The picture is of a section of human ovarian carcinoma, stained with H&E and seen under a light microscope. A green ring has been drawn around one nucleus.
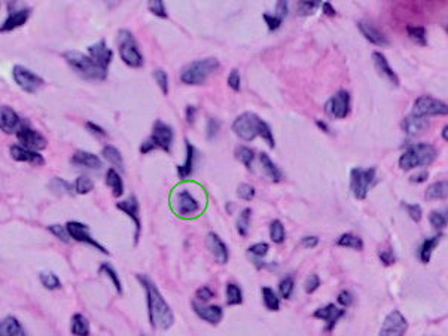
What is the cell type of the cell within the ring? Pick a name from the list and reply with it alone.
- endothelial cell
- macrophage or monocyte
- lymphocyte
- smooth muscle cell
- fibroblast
smooth muscle cell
